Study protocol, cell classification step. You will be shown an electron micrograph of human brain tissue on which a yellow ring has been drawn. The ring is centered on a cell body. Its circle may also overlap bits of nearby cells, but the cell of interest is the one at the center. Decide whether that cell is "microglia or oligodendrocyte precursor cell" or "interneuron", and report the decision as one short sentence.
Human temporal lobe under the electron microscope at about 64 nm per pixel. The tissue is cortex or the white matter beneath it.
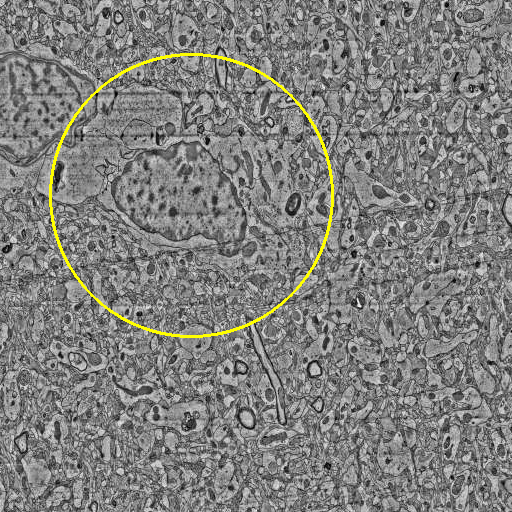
The marked cell is a microglial cell or oligodendrocyte precursor cell.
